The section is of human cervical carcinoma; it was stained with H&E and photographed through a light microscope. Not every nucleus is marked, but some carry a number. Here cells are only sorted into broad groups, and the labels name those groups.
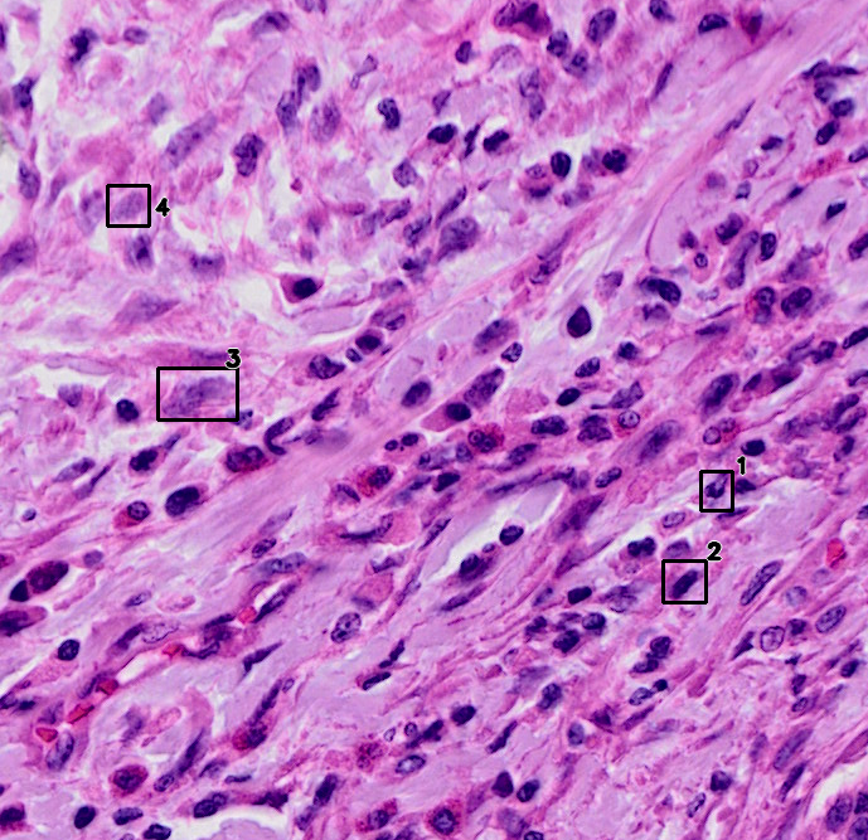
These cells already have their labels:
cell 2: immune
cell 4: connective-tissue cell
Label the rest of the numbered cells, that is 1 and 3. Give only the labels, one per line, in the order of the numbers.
immune
connective-tissue cell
